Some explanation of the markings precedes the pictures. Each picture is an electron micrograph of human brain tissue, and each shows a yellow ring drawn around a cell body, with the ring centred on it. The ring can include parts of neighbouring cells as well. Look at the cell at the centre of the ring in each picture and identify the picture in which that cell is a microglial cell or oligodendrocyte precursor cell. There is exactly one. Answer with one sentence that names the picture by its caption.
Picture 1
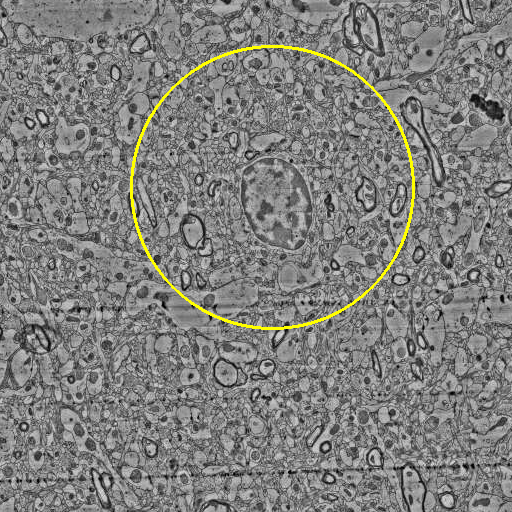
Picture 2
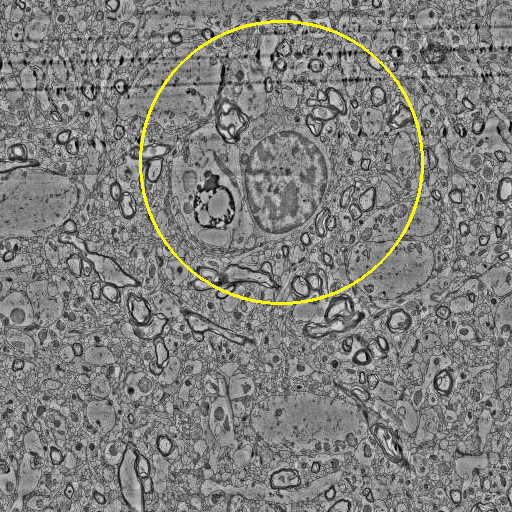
In Picture 1, the cell at the centre of the ring is of that kind.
